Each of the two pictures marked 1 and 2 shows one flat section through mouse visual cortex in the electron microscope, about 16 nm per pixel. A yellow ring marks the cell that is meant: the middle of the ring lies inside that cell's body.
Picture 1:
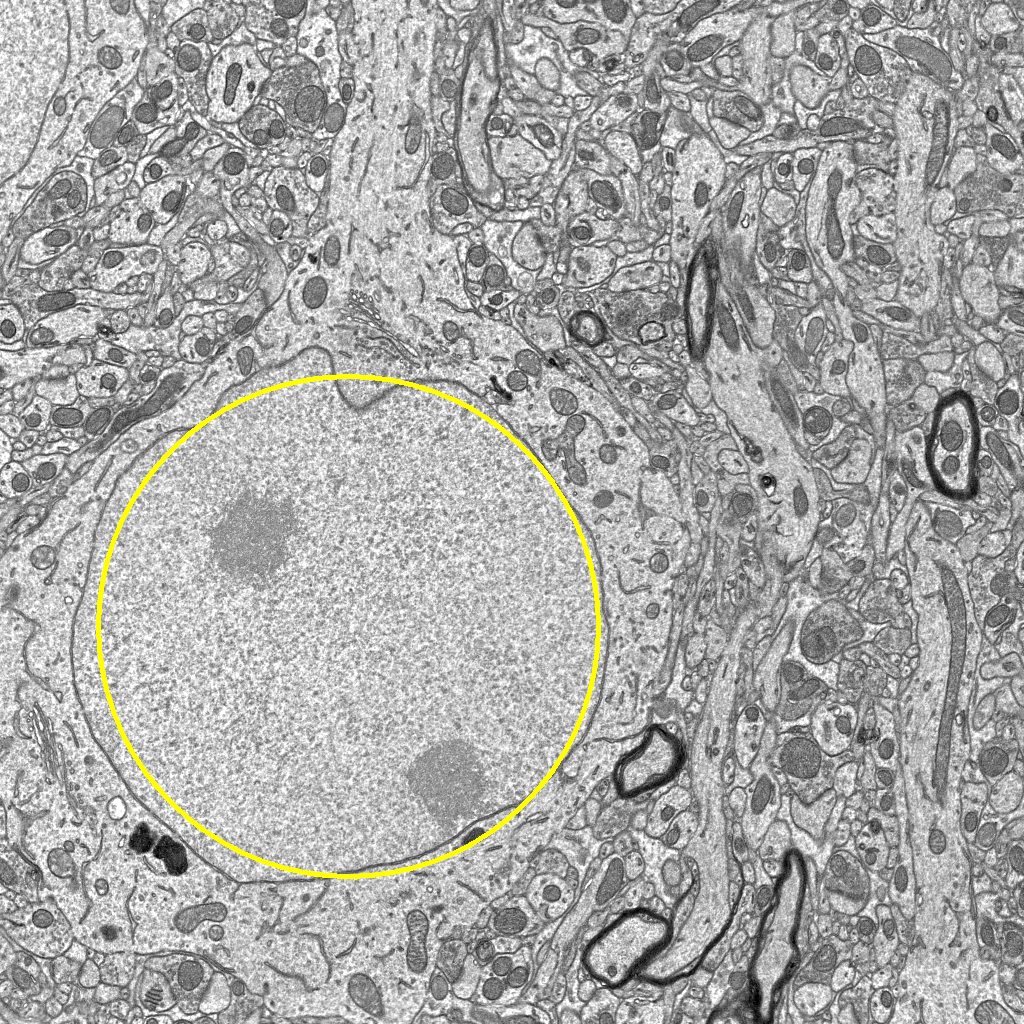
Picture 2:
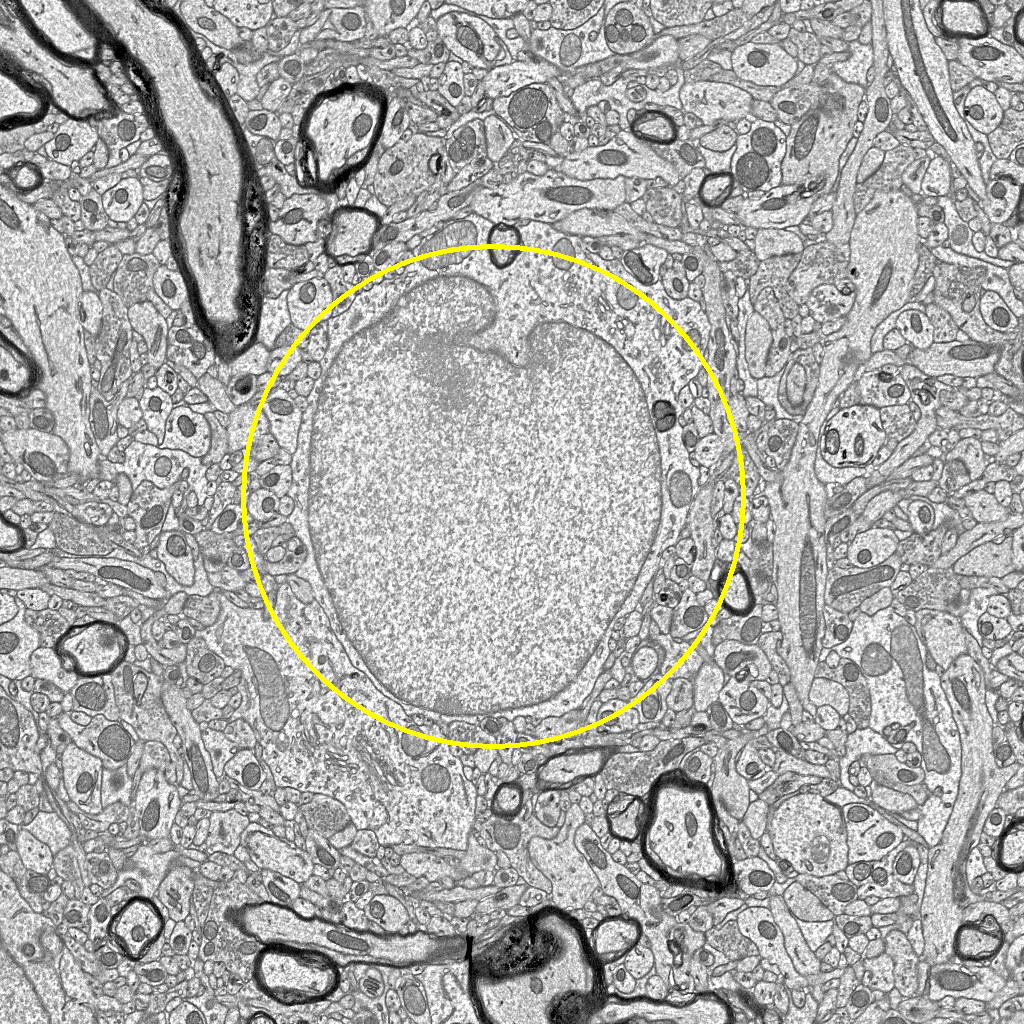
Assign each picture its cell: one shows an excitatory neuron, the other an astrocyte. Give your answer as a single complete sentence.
In picture 1 the cell is an excitatory neuron; in picture 2, an astrocyte.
